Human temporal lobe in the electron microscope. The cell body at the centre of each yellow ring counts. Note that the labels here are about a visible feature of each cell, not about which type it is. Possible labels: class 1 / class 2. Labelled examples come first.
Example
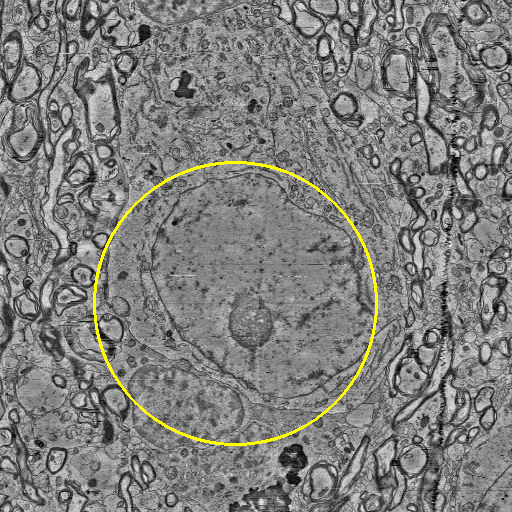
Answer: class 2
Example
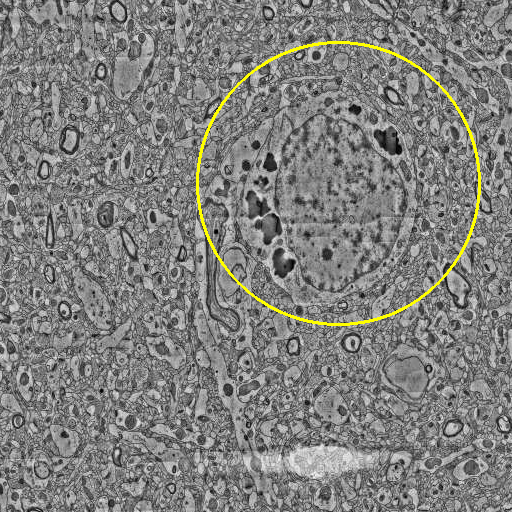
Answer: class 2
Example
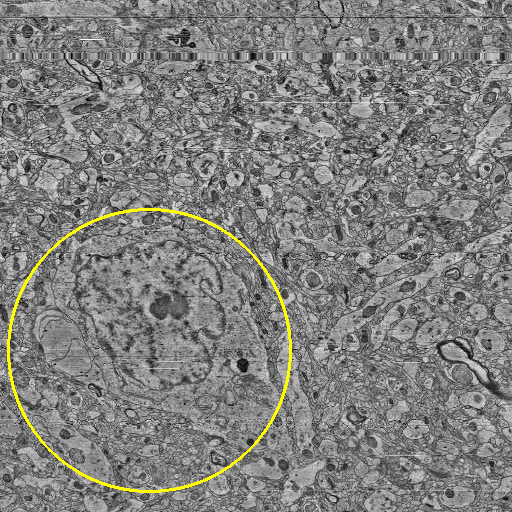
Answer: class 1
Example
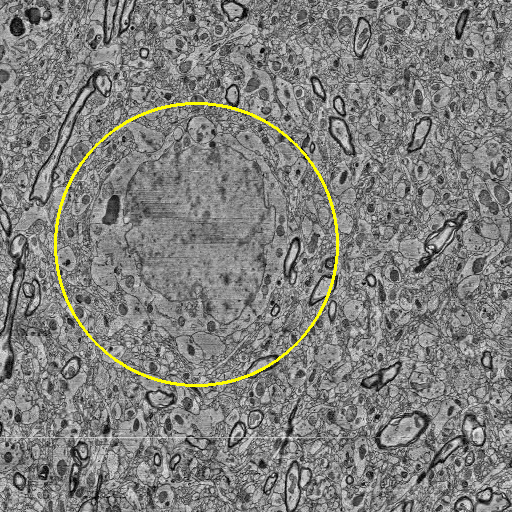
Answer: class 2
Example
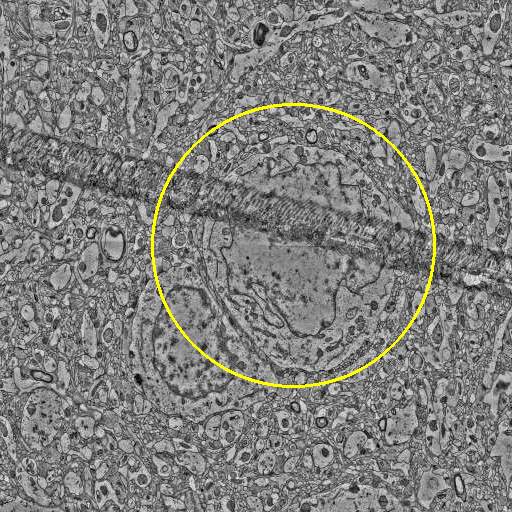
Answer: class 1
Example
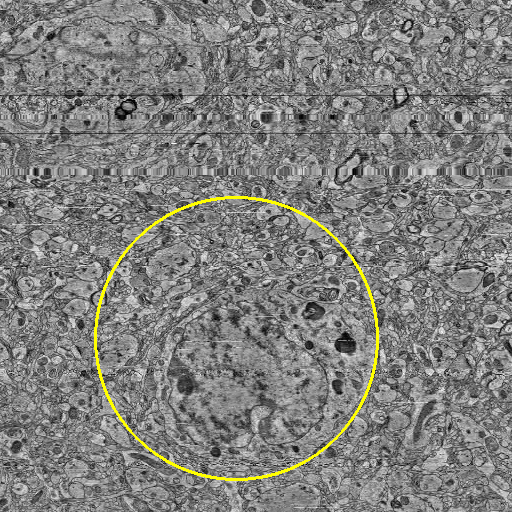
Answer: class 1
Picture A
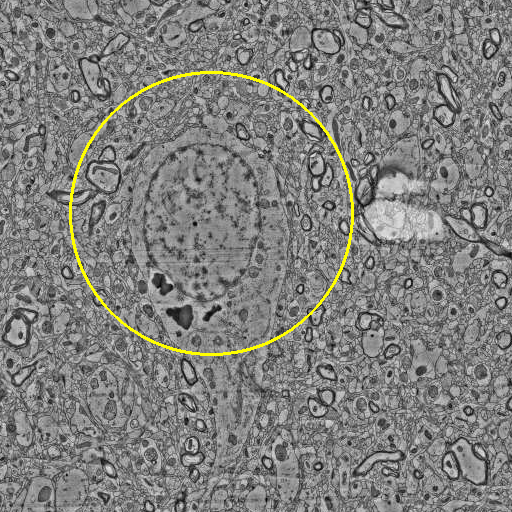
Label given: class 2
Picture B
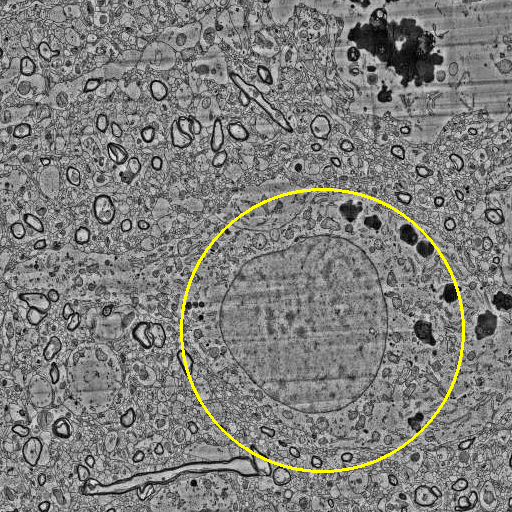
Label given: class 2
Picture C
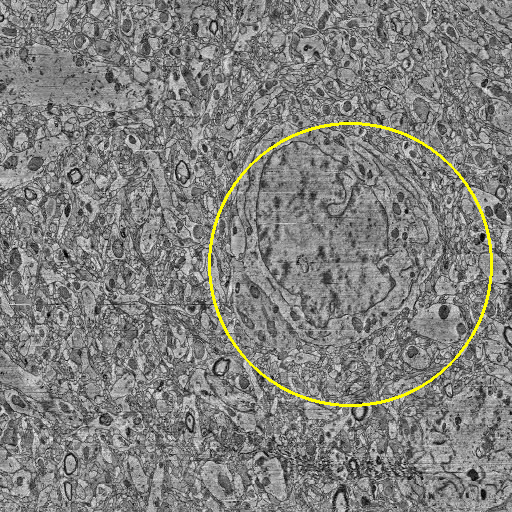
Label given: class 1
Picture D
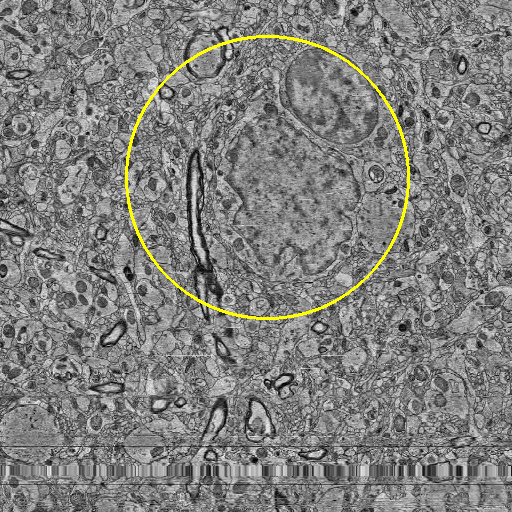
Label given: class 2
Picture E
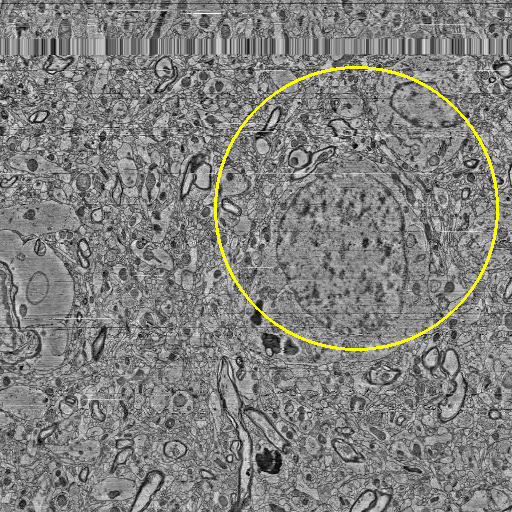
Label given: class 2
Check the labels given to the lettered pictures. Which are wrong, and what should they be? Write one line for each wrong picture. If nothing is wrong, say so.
D is labelled class 2; correct label: class 1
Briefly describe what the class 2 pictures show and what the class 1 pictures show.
In class 2: smooth nuclear envelopes without deep folds. In class 1: deeply folded or indented nuclear envelopes.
